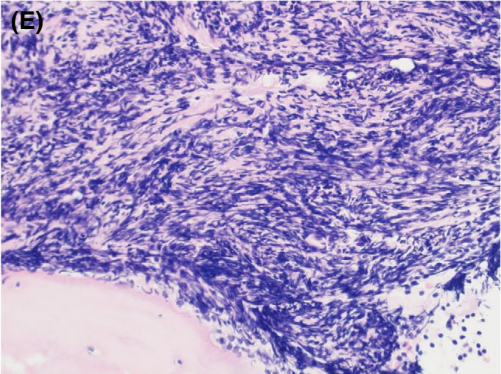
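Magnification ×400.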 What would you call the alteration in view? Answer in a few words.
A: severe fibrosis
